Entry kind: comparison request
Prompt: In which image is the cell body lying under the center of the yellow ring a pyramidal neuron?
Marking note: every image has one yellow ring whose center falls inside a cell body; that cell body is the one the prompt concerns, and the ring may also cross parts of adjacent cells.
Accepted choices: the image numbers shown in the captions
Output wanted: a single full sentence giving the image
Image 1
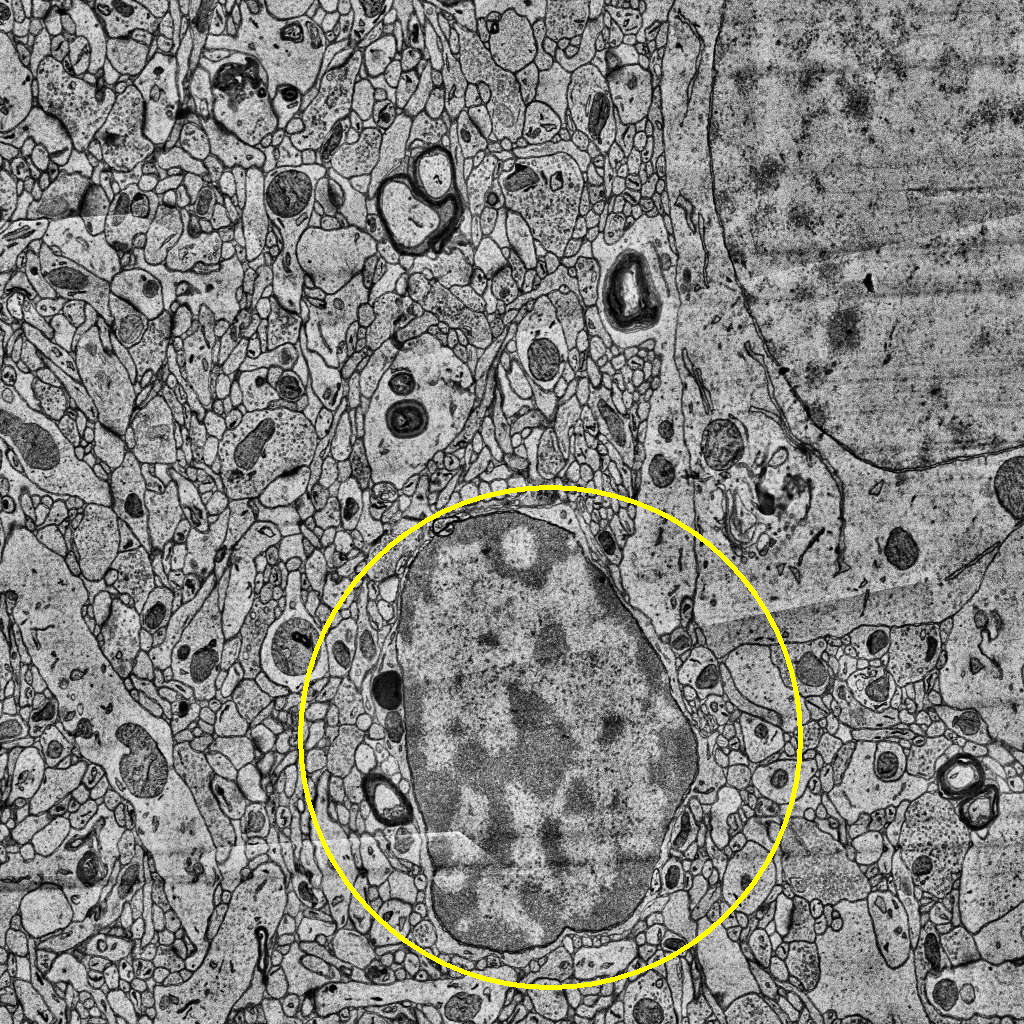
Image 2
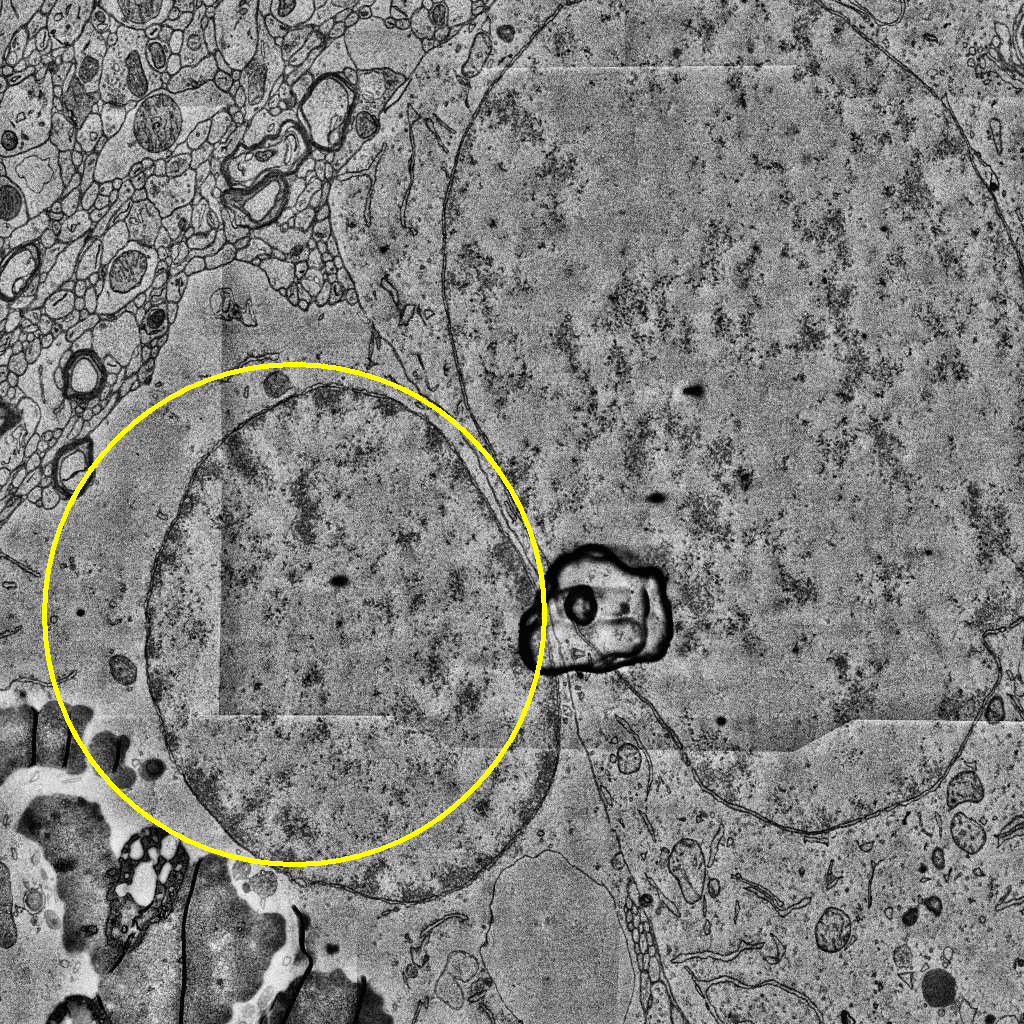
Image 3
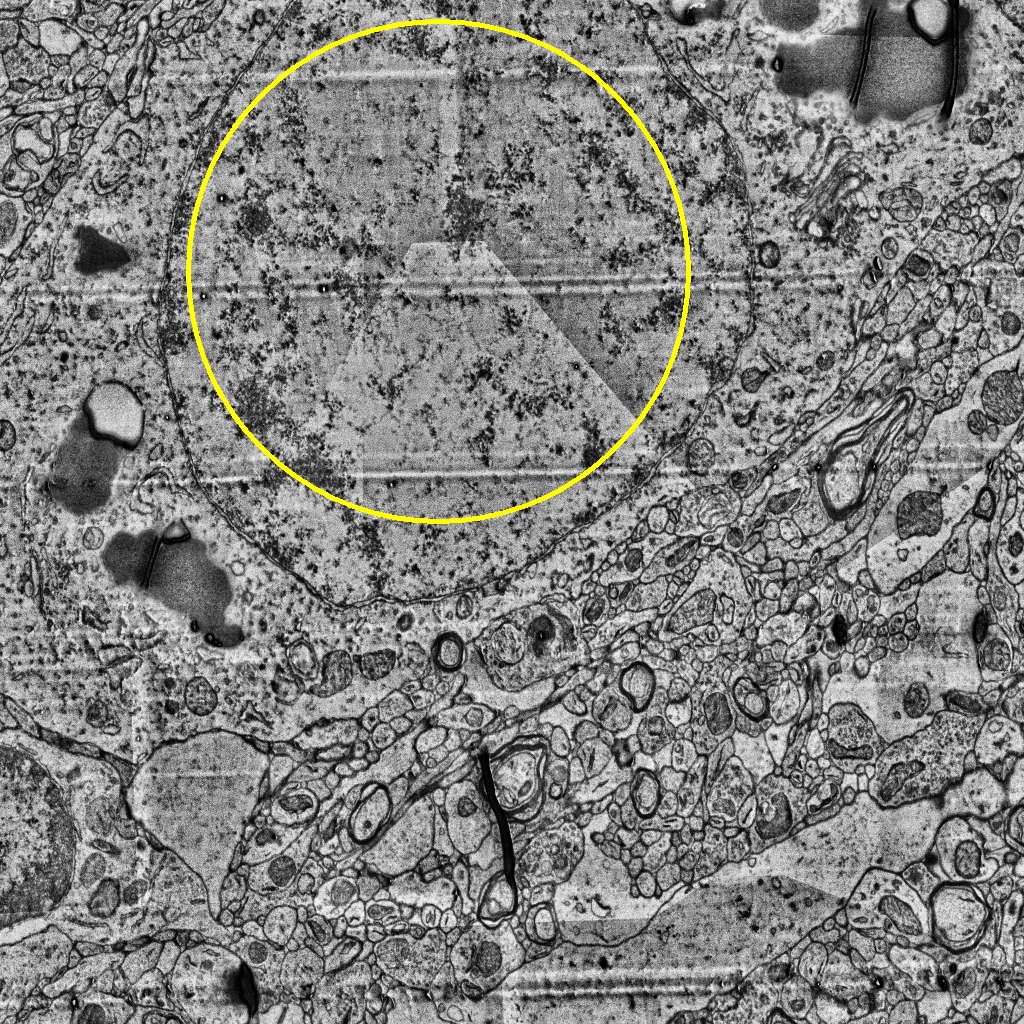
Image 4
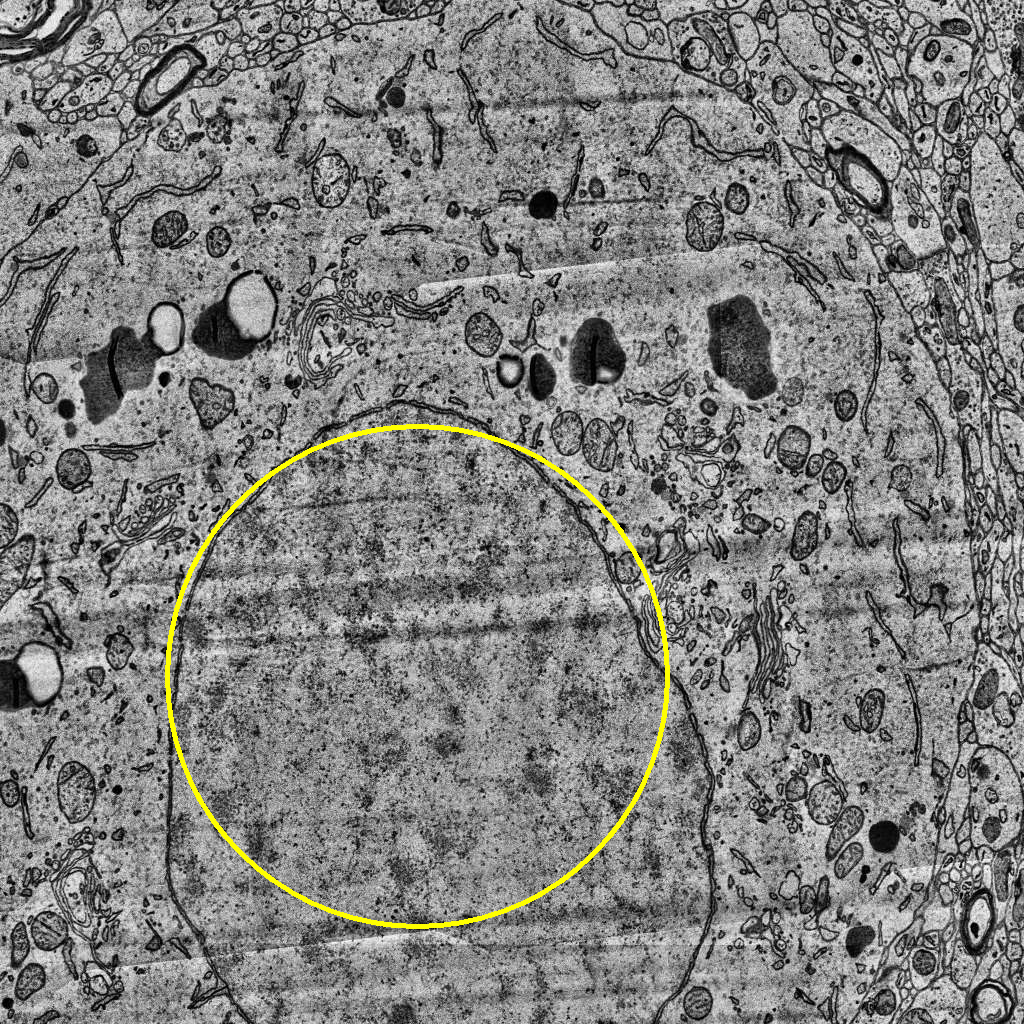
In image 4, the cell holding the center of the yellow ring matches the prompt.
